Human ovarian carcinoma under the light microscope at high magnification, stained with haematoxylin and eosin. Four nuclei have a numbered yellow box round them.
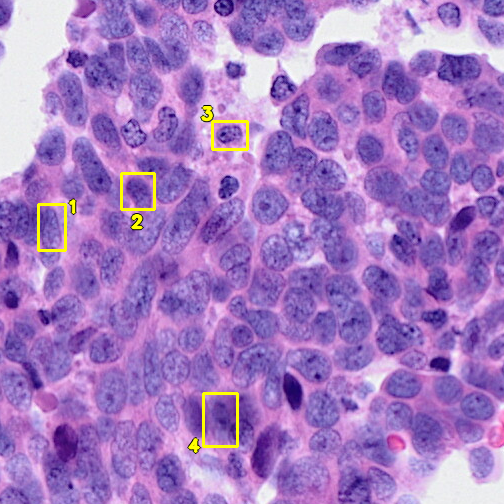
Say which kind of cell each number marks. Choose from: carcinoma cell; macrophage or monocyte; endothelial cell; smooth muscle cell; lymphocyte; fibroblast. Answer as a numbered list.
1. carcinoma cell
2. carcinoma cell
3. macrophage or monocyte
4. carcinoma cell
